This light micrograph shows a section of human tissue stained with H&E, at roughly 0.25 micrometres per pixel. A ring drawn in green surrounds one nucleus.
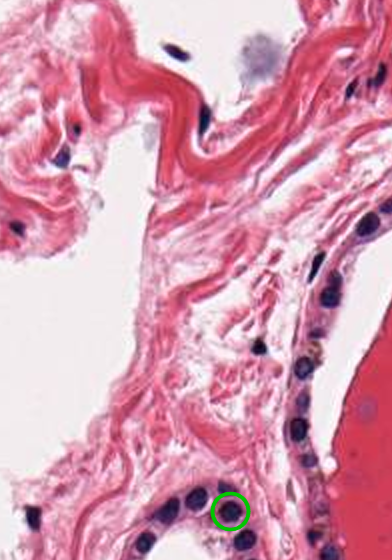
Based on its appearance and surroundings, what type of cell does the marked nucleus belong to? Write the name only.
thyroid follicular cell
